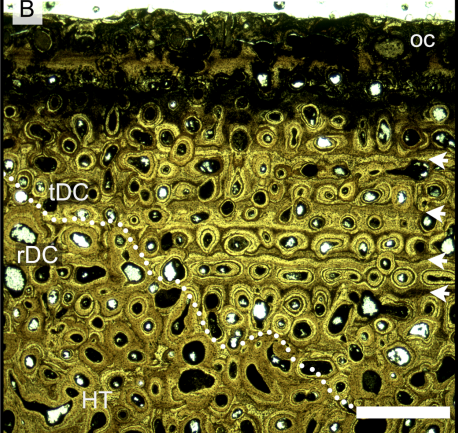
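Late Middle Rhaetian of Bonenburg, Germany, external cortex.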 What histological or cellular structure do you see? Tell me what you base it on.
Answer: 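Many round canal openings lie in rows parallel to the outer surface. Each canal is ringed by bright concentric layers.
Strictly longitudinal vascular canals arranged in circumferential rows.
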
